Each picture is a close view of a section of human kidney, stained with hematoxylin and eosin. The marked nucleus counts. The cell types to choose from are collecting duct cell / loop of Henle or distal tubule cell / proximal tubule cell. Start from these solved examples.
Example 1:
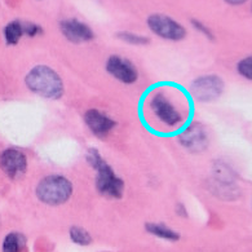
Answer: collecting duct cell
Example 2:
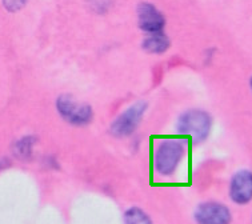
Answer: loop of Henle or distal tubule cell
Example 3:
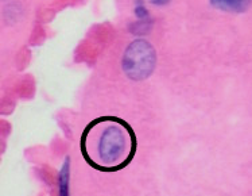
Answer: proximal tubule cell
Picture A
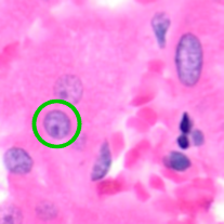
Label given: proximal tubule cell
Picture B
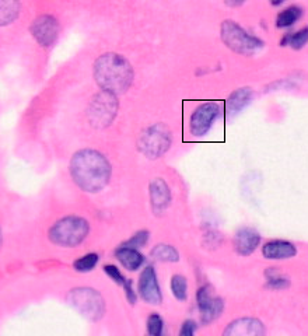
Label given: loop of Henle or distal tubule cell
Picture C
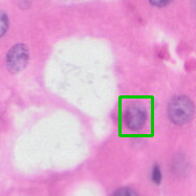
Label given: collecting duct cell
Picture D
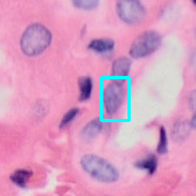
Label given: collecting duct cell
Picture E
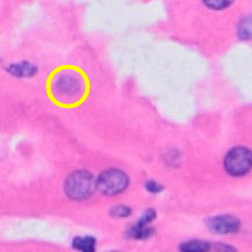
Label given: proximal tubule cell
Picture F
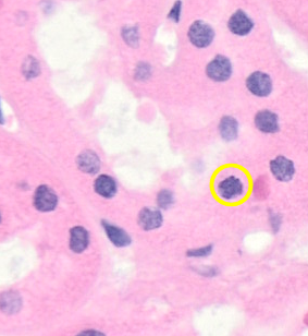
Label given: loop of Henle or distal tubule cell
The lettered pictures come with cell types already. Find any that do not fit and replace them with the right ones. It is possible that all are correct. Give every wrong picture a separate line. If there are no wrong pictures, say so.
C: not collecting duct cell but proximal tubule cell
